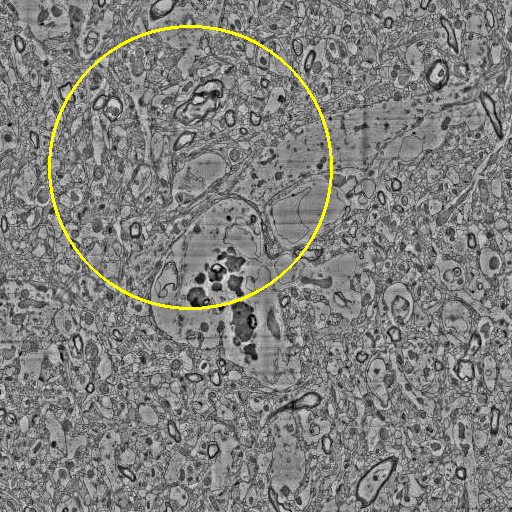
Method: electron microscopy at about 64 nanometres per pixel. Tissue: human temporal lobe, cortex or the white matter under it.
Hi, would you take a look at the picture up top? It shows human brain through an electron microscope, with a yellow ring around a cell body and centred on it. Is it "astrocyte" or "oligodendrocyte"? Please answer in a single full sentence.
The best fit for the cell in the middle of the ring is an astrocyte, I reckon.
